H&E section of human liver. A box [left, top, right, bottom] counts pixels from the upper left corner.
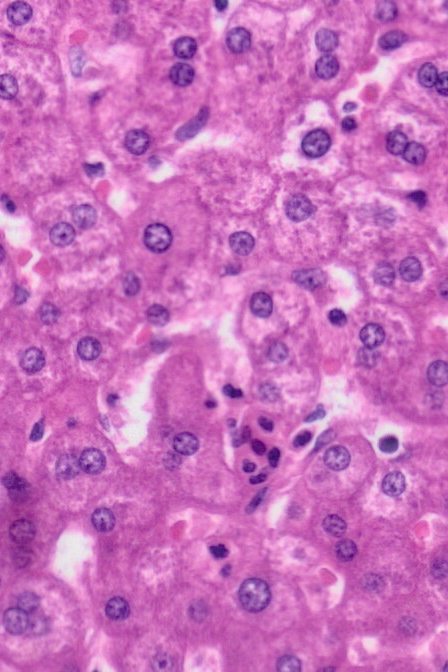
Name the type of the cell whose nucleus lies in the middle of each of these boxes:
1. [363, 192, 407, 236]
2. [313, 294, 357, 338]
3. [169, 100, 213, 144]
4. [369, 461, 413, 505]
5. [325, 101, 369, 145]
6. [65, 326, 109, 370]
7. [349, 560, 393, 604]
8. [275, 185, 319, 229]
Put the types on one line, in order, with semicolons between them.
hepatocyte; lymphocyte; Kupffer cell; hepatocyte; lymphocyte; hepatocyte; hepatocyte; hepatocyte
